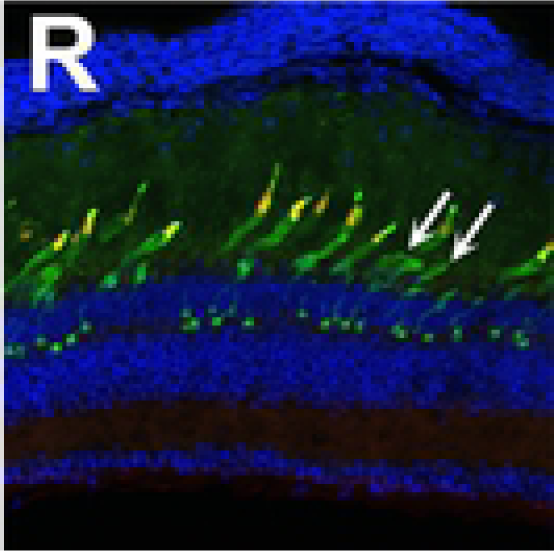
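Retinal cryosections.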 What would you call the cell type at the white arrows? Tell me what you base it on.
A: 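The arrows point to slender green photoreceptor profiles standing above the outer nuclear layer. The arrowed profiles carry no red tip. So: cones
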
